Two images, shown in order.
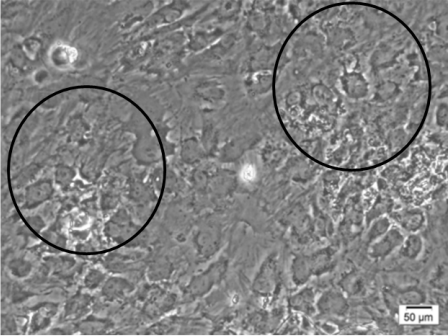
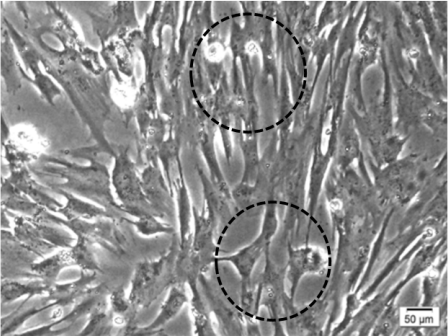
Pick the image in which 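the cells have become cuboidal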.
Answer: the first image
